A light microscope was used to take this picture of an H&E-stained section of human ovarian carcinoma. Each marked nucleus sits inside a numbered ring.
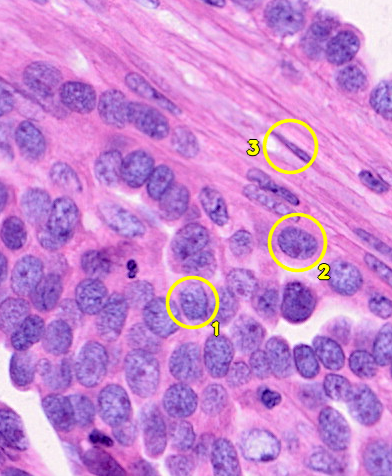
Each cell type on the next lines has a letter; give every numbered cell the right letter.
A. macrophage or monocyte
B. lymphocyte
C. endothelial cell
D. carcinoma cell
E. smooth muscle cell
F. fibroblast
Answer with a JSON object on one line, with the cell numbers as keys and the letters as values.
{"1": "D", "2": "D", "3": "F"}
